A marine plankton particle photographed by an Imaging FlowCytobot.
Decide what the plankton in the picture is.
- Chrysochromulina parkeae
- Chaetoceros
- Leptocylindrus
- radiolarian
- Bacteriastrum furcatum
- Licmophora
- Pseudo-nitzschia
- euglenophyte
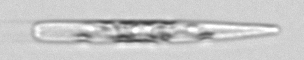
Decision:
Licmophora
